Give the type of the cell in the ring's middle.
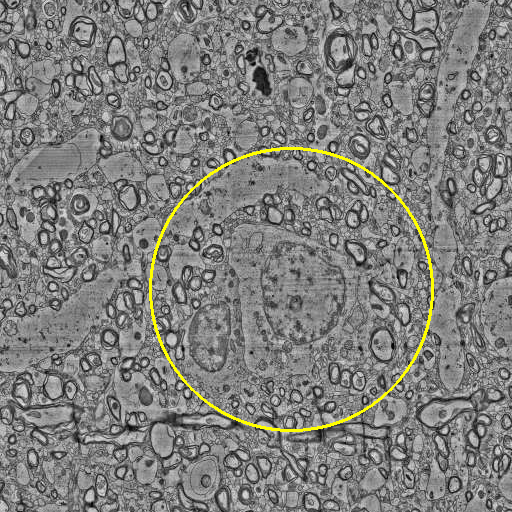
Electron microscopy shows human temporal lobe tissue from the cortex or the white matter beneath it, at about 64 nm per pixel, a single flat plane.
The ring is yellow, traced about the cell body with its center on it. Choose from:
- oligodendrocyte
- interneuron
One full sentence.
Here, an interneuron is the cell lying at the center of the yellow ring.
